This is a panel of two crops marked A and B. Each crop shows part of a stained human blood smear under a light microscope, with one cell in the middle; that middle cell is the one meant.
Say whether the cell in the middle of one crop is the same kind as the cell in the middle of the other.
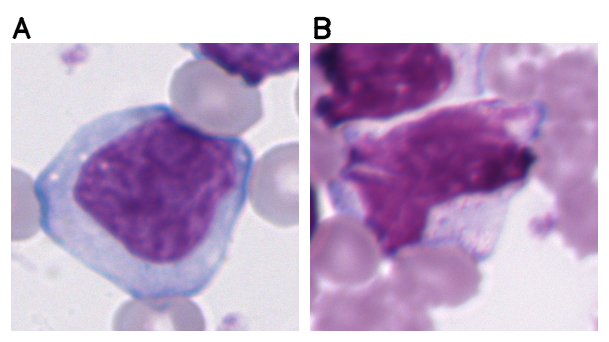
yes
